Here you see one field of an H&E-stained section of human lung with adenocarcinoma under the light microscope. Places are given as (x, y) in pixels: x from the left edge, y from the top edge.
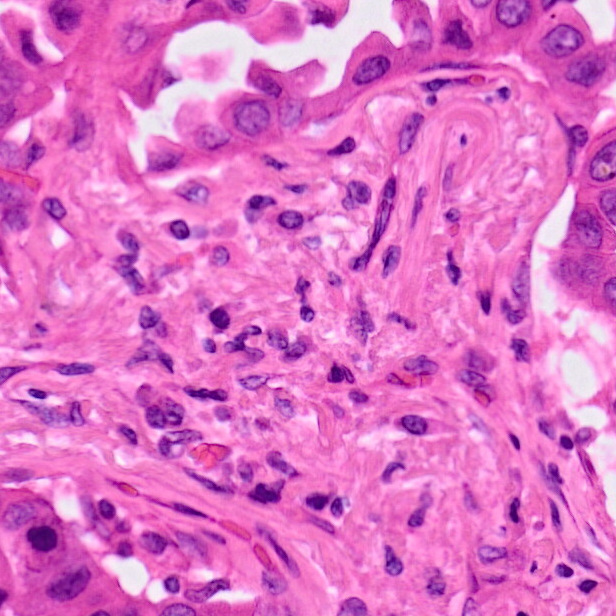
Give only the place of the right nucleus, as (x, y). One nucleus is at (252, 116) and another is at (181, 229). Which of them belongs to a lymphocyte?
(181, 229)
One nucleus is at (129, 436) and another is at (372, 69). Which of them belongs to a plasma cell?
(129, 436)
